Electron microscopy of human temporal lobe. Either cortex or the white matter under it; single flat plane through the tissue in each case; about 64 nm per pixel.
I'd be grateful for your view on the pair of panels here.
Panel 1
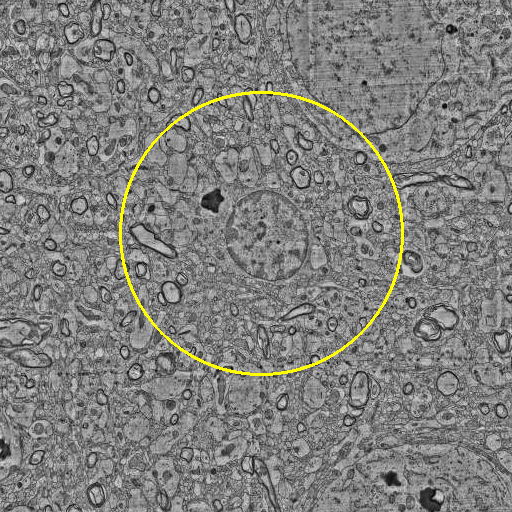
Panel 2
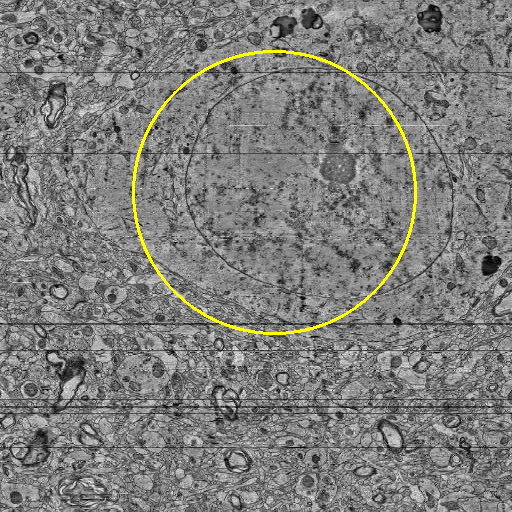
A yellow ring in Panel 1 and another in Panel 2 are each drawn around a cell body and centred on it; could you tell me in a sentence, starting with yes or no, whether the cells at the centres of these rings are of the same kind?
No, they are two kinds of cell.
